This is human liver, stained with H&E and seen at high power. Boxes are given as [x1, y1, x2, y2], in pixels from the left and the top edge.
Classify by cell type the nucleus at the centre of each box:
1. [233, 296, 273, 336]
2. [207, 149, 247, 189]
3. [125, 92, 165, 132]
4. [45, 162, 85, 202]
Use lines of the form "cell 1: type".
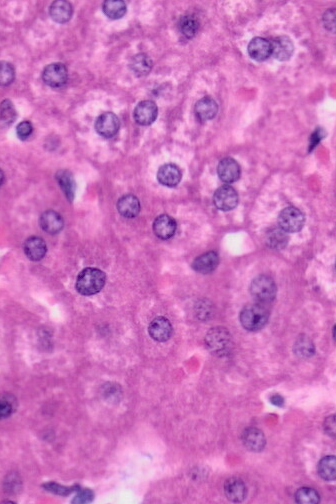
cell 1: hepatocyte
cell 2: hepatocyte
cell 3: hepatocyte
cell 4: endothelial cell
